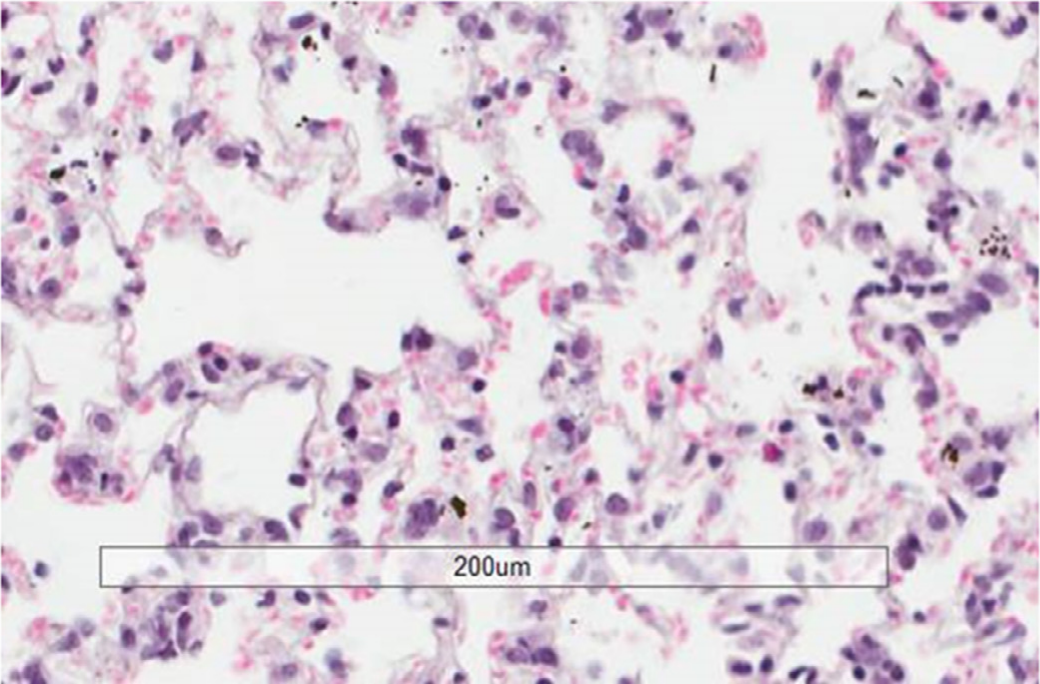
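This is lung tissue with many open alveoli separated by thin alveolar septa. The septa are lined and filled by cells with small, dark purple oval or rounded nuclei, and pink-red blood cells lie within the septal capillaries. Small black-brown granules are scattered across the section, some lying free in the alveolar spaces and some clustered over cell bodies as intracellular particles. Overall, the alveolar architecture looks preserved, with open air spaces.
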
